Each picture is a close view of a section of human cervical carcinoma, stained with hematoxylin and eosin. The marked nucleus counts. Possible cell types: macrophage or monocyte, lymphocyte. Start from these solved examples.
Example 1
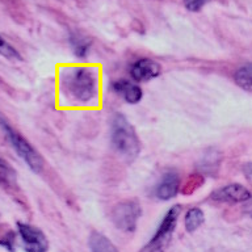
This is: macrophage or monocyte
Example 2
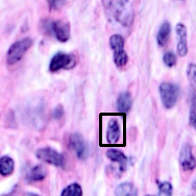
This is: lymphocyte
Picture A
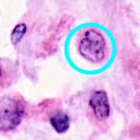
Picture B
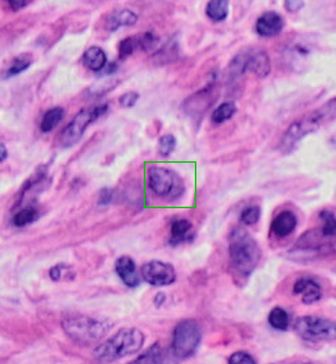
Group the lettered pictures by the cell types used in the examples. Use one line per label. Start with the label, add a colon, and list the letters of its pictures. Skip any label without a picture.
macrophage or monocyte: A, B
